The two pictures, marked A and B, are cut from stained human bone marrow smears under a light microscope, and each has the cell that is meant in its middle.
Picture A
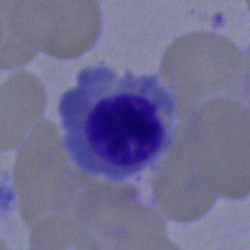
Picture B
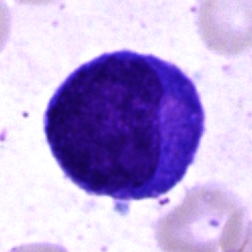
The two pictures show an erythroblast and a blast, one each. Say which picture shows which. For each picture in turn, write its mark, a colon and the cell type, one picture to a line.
A: erythroblast
B: blast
